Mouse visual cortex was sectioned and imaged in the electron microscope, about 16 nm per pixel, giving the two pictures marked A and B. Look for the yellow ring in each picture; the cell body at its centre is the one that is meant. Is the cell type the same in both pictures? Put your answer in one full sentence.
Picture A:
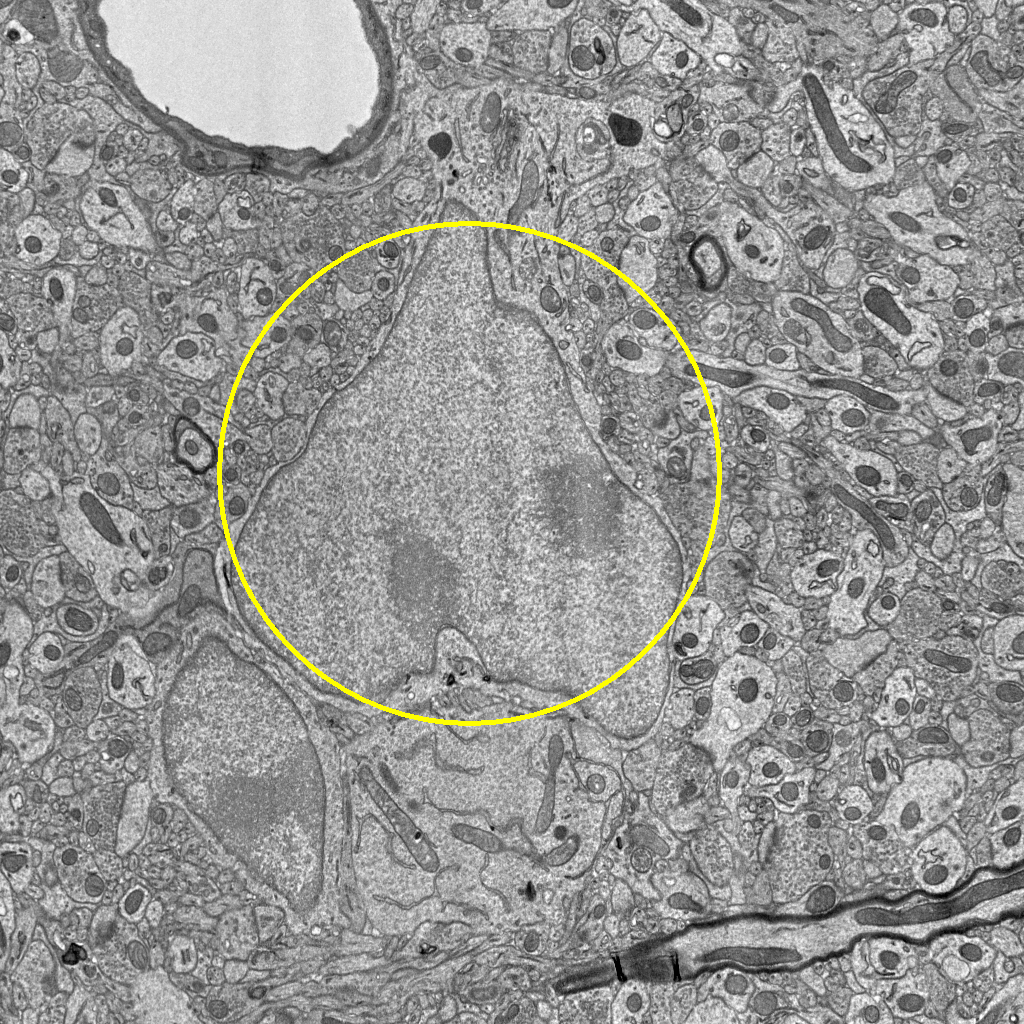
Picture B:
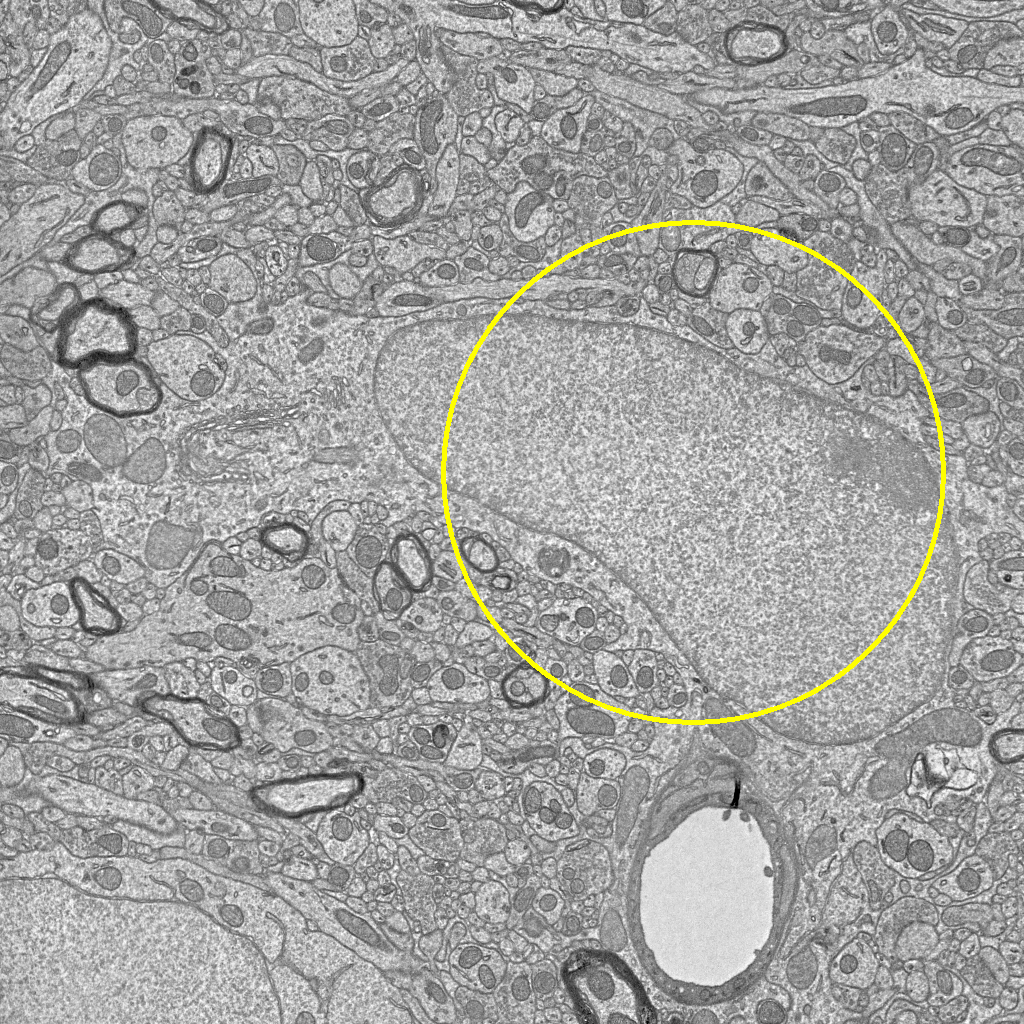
No, the types are not the same, since picture A shows an oligodendrocyte precursor cell and picture B an astrocyte.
